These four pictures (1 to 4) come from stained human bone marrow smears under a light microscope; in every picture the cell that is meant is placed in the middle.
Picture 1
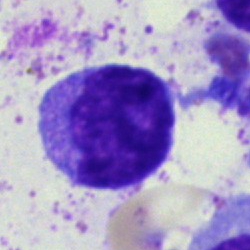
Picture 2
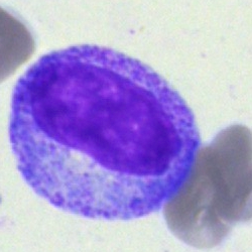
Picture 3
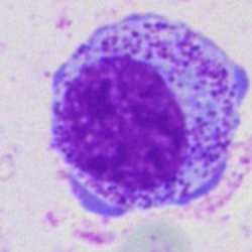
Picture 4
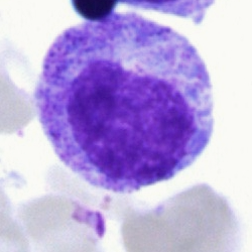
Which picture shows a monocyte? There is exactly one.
1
